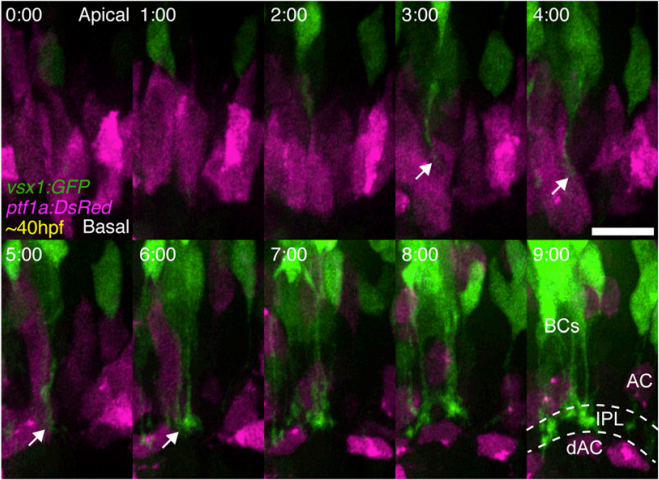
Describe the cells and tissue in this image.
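Over the frames the green cells send thin processes downward that reach in among the magenta cells. In the last frame the green endings spread into a band outlined by white dashed lines, with magenta cells lying both above and below it.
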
